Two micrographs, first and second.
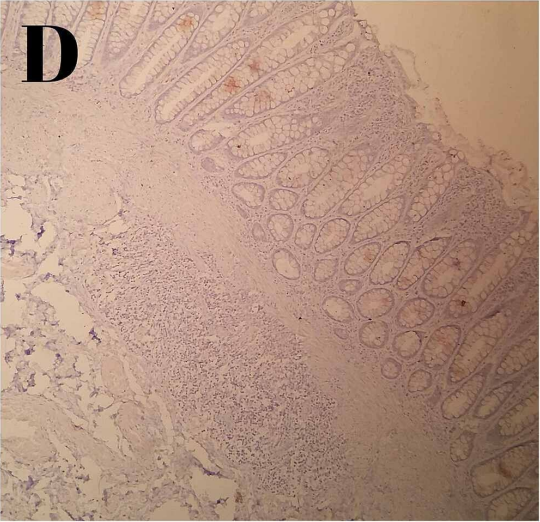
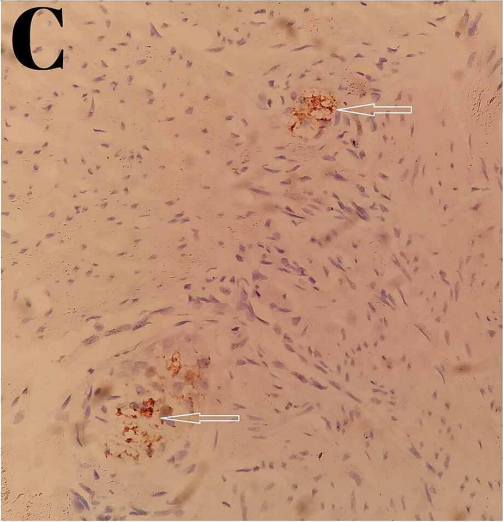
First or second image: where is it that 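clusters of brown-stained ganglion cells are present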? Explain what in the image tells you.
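First image: the wall below the crypts shows blue-counterstained tissue without brown-stained cell clusters. Second image: two groups of cells with granular brown cytoplasm stand out among pale spindle cells.
Conclusion: the second image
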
